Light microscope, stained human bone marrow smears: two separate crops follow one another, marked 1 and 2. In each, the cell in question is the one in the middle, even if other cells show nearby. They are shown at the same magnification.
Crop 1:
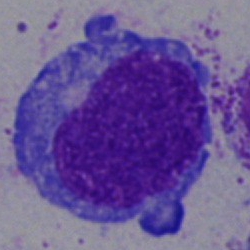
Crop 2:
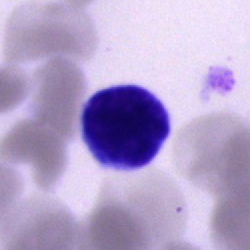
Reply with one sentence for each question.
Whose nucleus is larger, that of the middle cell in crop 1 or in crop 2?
It is the nucleus in crop 1, about 3 times as large in area as the one in crop 2.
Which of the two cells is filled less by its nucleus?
It is the cell in crop 1 that is filled less by its nucleus.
